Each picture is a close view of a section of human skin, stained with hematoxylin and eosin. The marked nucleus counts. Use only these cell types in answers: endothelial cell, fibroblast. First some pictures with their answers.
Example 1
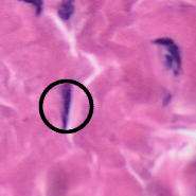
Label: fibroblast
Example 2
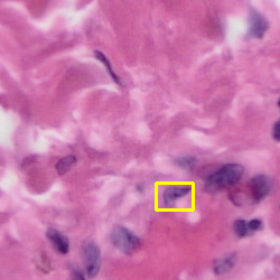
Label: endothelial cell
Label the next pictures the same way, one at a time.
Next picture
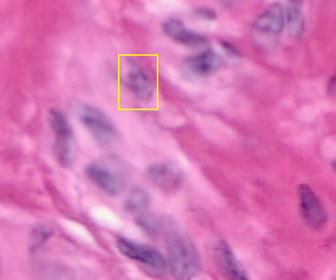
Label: endothelial cell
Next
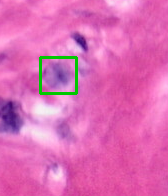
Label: endothelial cell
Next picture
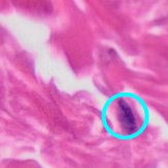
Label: fibroblast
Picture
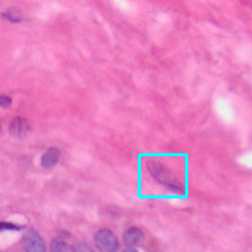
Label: fibroblast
